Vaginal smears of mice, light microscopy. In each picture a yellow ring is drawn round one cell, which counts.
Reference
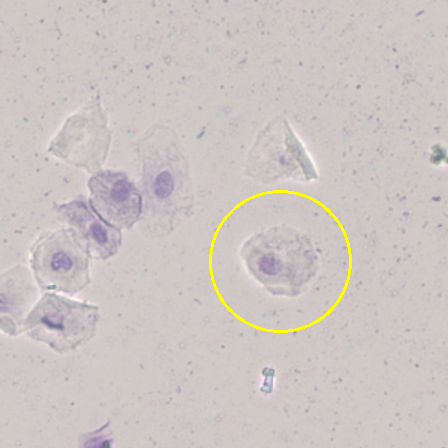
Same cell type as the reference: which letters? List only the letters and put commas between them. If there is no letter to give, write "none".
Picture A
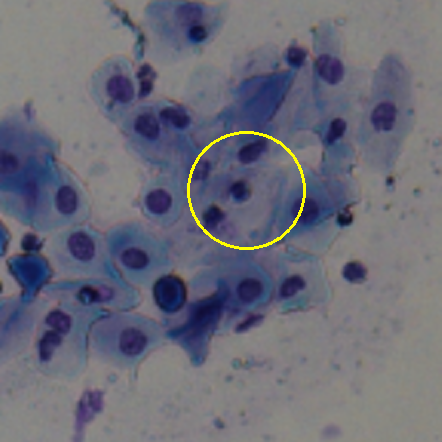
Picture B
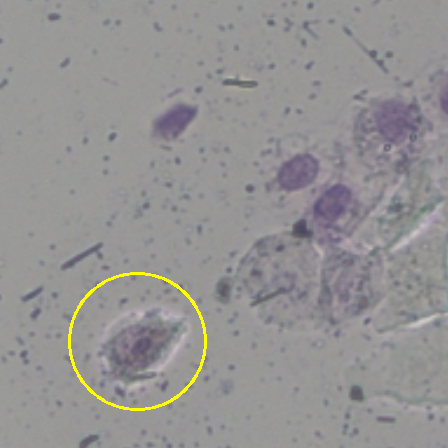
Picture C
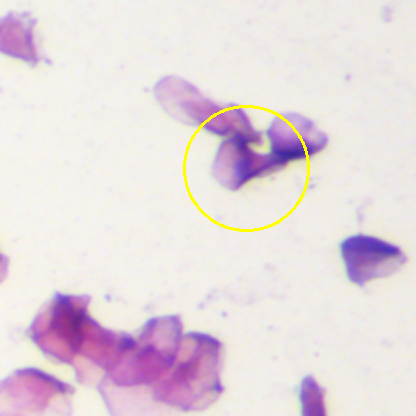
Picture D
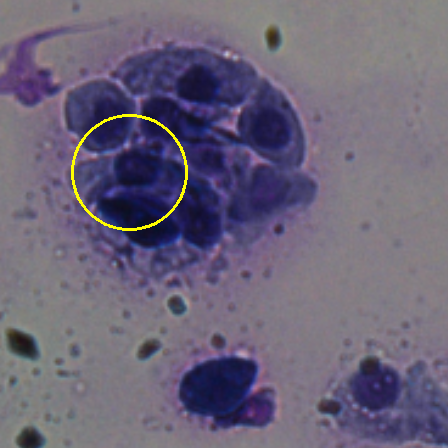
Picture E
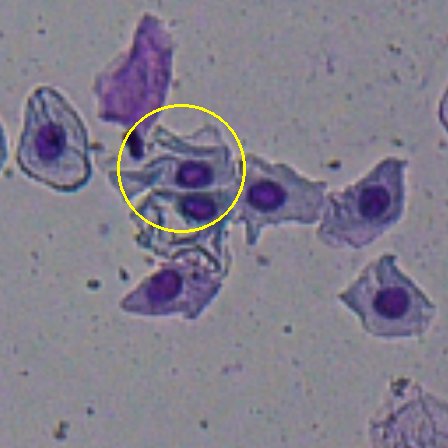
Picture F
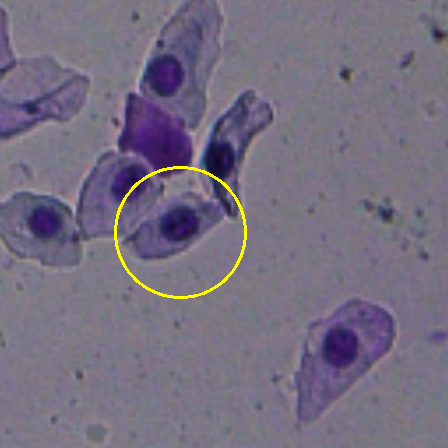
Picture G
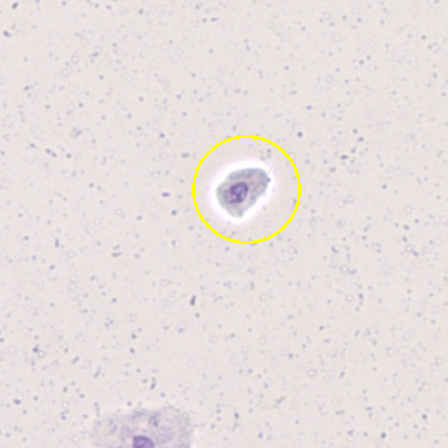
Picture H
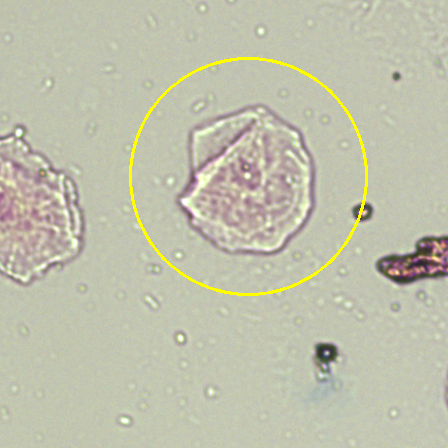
A, B, D, E, F, G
